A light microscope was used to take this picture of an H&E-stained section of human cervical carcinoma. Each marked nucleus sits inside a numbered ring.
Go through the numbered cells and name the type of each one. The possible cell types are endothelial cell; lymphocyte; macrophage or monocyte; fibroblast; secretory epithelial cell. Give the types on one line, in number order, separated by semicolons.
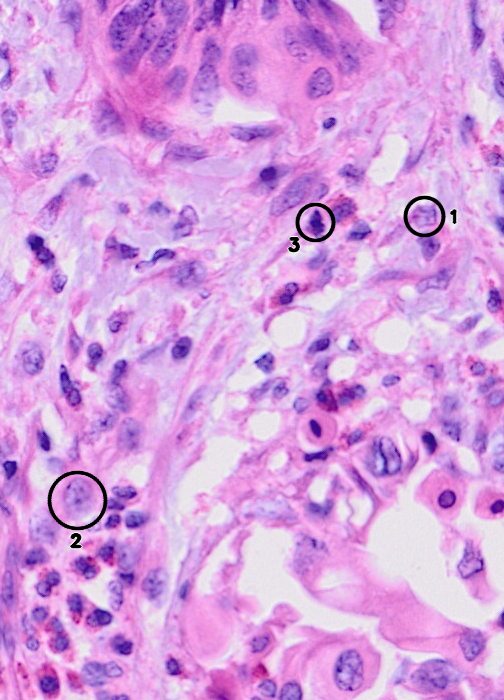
macrophage or monocyte; endothelial cell; lymphocyte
